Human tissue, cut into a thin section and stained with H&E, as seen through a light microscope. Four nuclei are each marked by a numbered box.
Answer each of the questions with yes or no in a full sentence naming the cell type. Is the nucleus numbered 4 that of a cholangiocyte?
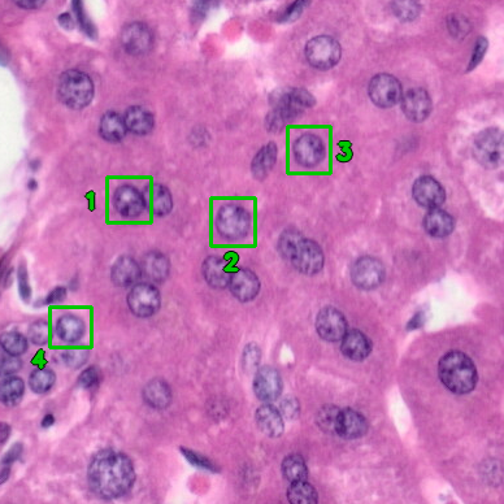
Yes, the cell denoted by 4 is a cholangiocyte.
